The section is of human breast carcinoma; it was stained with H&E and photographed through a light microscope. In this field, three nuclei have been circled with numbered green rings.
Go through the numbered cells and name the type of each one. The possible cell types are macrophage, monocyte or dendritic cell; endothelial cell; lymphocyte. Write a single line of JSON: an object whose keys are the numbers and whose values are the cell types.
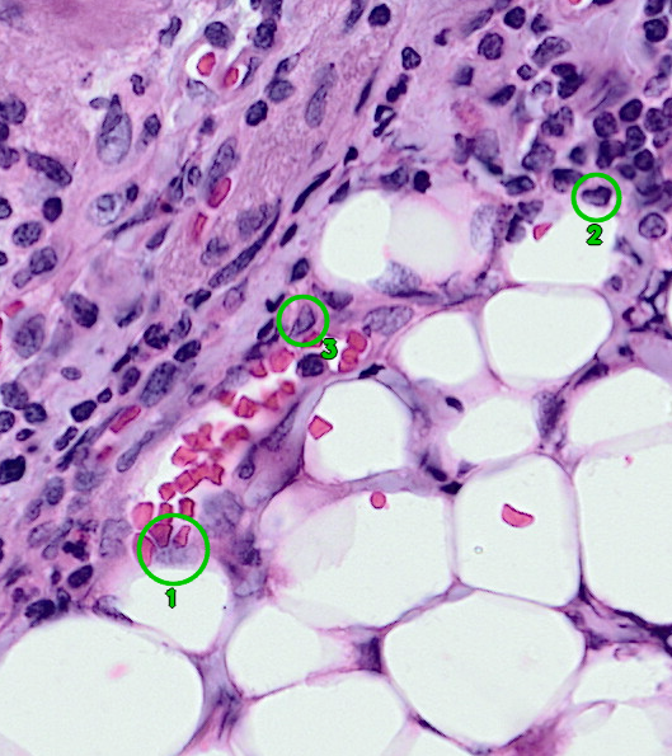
{"1": "endothelial cell", "2": "lymphocyte", "3": "endothelial cell"}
